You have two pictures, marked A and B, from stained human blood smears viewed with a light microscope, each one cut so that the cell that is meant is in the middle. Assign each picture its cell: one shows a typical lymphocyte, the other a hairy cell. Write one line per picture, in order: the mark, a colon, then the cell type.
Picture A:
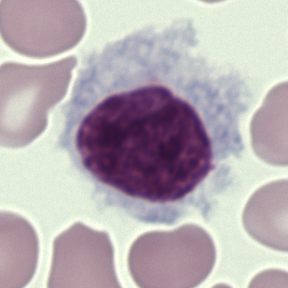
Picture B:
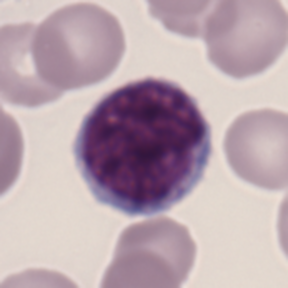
A: hairy cell
B: typical lymphocyte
